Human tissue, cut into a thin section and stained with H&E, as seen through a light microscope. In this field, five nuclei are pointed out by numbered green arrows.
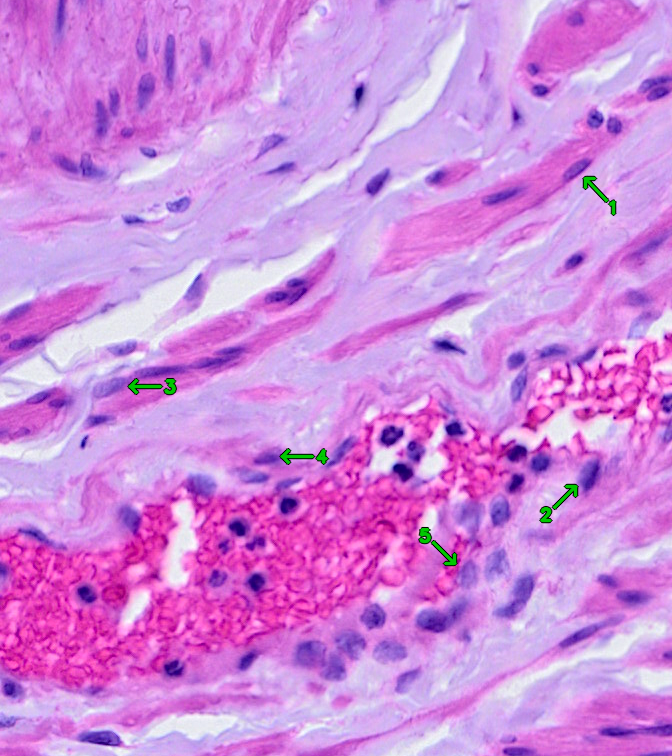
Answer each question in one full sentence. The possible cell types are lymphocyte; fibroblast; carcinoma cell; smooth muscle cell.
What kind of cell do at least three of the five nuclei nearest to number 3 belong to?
Most of the five nuclei nearest to number 3 are those of smooth muscle cells.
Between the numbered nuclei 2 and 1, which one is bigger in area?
Nucleus 2 covers more area, about 2 times as much as nucleus 1.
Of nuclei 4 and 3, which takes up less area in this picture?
Nucleus 4 is the smaller one; nucleus 3 covers about 1.5 times its area.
